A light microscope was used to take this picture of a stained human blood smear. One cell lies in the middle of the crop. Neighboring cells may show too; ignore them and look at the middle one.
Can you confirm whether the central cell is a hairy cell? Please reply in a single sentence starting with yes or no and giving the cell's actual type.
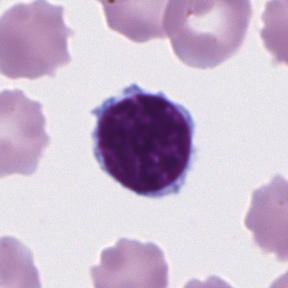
No, the central cell is not a hairy cell; it is a typical lymphocyte instead.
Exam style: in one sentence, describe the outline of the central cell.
Along the periphery, ragged stretches or projections make the outline irregular.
